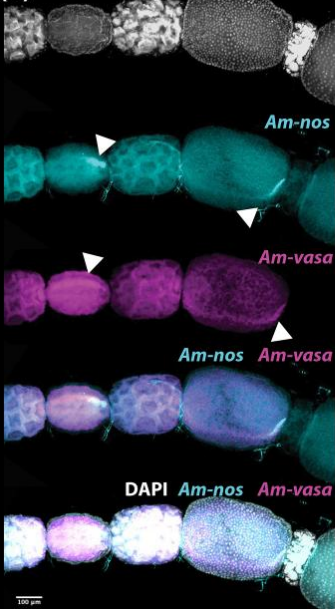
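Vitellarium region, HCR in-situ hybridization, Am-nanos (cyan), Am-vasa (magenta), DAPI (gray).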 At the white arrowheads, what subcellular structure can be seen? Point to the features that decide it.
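The arrowheads point to a bright band along one edge of an egg chamber. The band is brighter than the rest of the chamber.
Conclusion: a stripe down 1 side of the oocyte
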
